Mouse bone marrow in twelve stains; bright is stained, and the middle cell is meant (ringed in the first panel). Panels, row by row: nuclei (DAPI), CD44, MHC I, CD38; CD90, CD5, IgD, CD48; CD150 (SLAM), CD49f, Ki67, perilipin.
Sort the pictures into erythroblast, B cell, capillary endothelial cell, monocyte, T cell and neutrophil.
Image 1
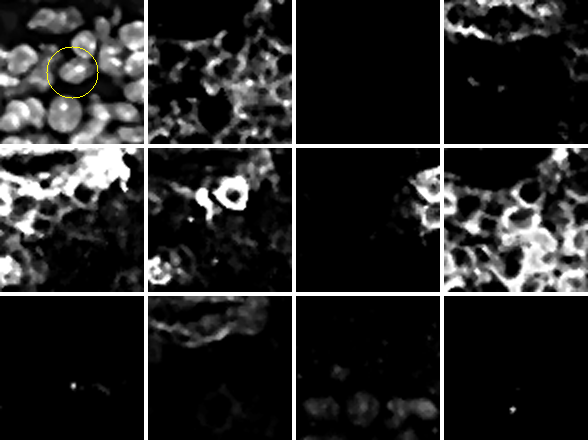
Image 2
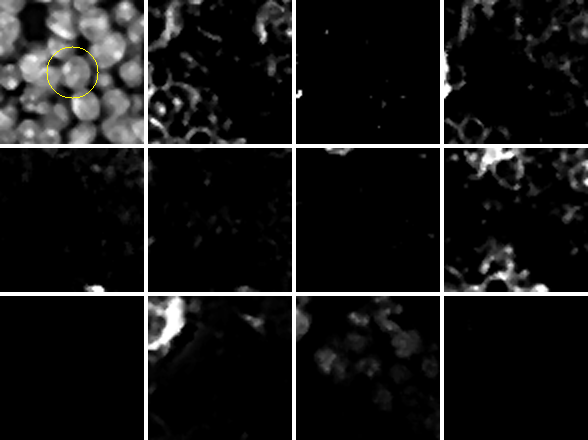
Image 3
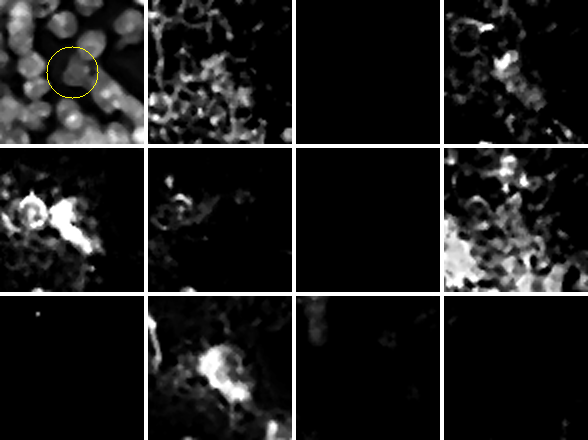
Monocytes: 1
Erythroblasts: 2
Capillary endothelial cells: 3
